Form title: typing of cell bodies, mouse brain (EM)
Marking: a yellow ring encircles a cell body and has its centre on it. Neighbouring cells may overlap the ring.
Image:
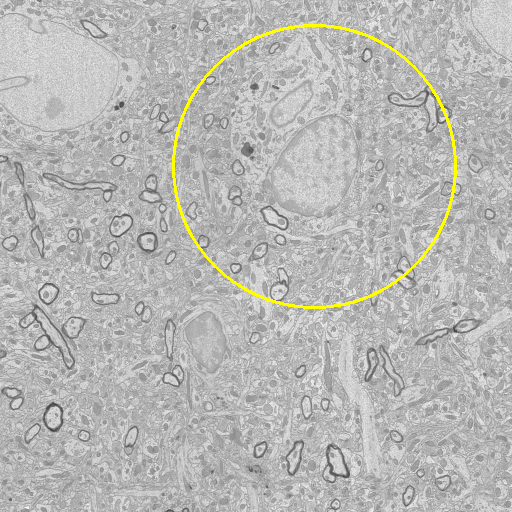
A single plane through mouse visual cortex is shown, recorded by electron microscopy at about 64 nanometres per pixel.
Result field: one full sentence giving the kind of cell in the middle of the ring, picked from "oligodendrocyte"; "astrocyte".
In the picture, the ring is centred on an oligodendrocyte, whose cell body it encircles.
